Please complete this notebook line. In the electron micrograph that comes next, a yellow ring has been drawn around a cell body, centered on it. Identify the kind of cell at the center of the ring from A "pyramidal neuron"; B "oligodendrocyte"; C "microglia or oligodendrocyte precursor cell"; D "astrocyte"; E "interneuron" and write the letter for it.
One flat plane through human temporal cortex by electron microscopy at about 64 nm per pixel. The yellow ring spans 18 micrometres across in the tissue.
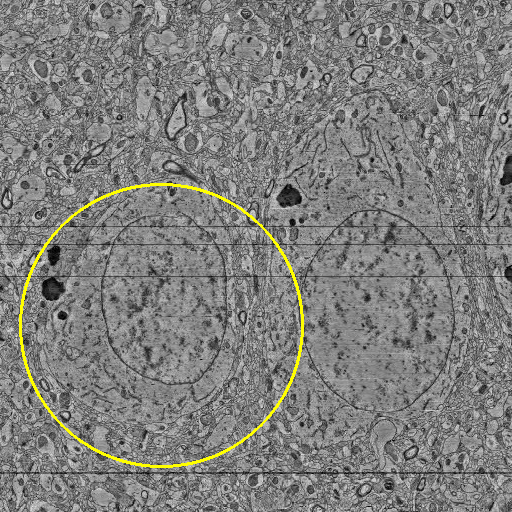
A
